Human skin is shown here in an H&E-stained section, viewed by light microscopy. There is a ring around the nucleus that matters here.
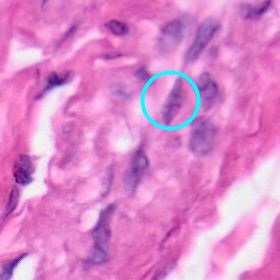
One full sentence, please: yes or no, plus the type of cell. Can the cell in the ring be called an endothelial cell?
Yes, the cell in the ring is an endothelial cell in this section.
